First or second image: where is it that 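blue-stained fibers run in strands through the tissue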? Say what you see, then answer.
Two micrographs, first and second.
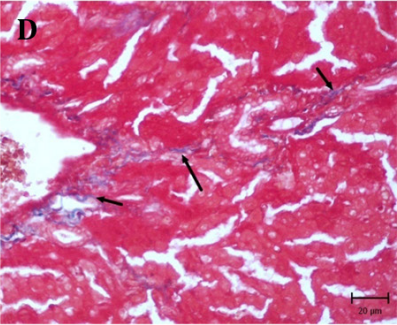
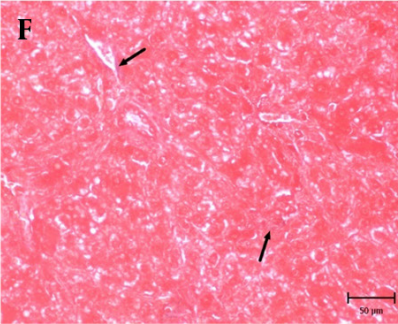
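The first image. Second image: the tissue is almost uniformly red with only faint thin pale strands. First image: several distinct blue fiber strands cross the red parenchyma.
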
